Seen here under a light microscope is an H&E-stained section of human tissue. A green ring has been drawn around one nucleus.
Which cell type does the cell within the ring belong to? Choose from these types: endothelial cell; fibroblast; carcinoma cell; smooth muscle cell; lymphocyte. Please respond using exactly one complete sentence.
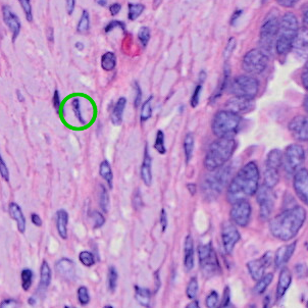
The identity of the cell within the ring: it is a fibroblast.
